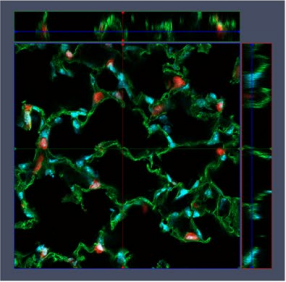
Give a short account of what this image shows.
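Lung parenchyma with thin green alveolar septa forming a meshwork around wide dark air spaces. Side strips show the same walls in orthogonal section.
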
